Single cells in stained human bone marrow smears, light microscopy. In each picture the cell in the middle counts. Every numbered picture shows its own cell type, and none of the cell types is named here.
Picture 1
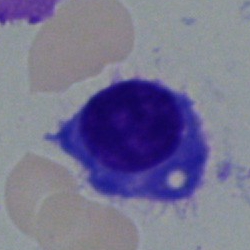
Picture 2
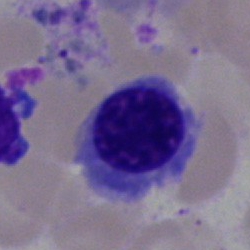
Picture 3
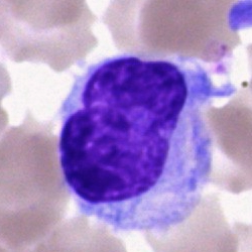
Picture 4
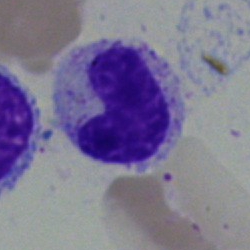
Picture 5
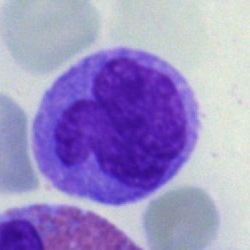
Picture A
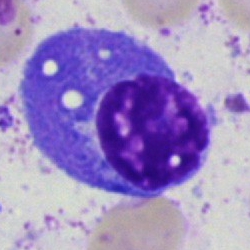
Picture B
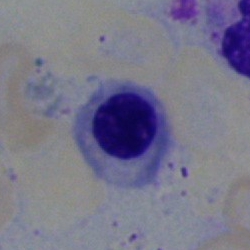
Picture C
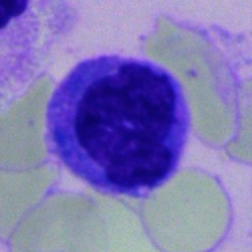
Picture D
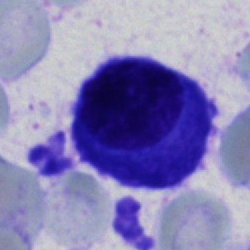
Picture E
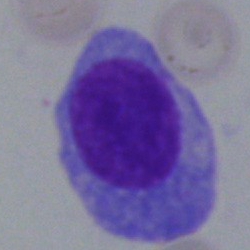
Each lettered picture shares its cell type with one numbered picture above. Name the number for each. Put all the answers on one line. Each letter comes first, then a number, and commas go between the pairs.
A 1, B 2, C 5, D 1, E 1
